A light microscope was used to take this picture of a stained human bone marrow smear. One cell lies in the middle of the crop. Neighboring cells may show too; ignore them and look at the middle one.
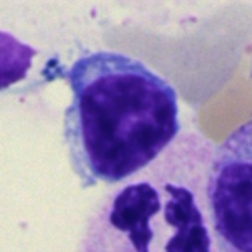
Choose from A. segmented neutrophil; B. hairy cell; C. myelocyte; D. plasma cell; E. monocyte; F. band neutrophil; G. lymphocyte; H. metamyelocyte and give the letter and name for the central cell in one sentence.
That middle cell is a lymphocyte, and option G is therefore correct.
